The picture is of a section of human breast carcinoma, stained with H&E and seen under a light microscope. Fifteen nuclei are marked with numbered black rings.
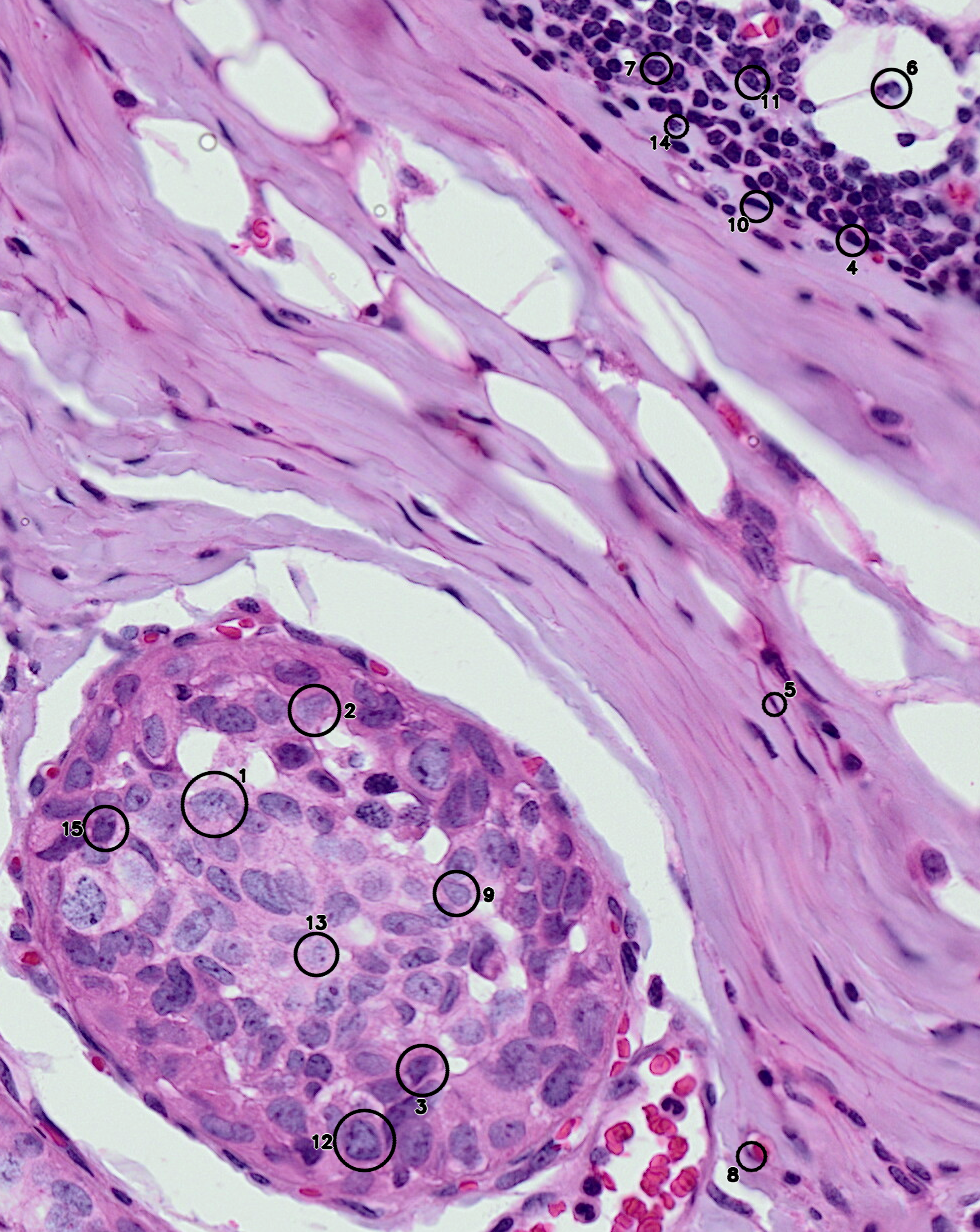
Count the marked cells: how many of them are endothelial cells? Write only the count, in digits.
1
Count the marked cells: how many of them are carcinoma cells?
7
